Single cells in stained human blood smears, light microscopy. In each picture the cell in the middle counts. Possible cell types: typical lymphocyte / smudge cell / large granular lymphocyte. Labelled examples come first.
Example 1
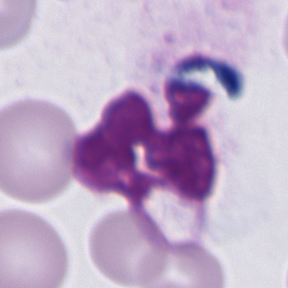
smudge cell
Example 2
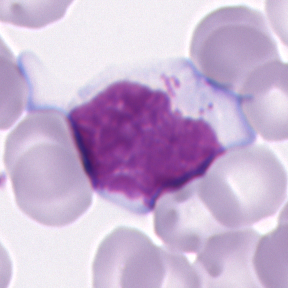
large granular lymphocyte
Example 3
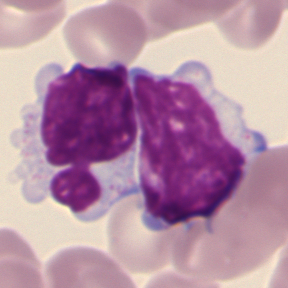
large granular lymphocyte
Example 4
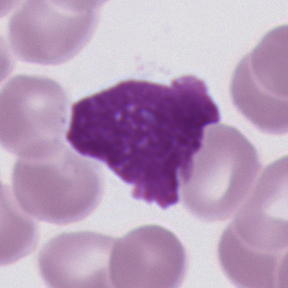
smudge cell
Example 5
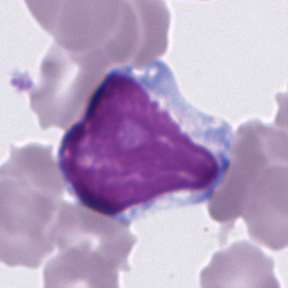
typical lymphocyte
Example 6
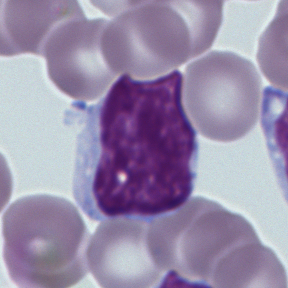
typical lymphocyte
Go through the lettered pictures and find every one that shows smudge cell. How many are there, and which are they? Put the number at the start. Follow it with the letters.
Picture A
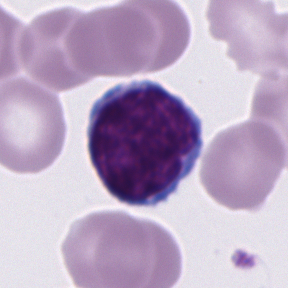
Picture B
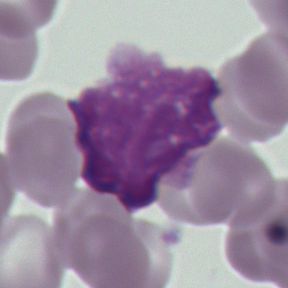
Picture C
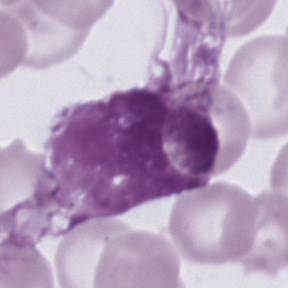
2, namely B, C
